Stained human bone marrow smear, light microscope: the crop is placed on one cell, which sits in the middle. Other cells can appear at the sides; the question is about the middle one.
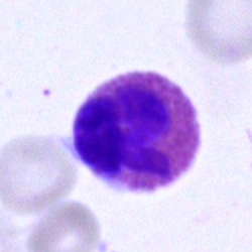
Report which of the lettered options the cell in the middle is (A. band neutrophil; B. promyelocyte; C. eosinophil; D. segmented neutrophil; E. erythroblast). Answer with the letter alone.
C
